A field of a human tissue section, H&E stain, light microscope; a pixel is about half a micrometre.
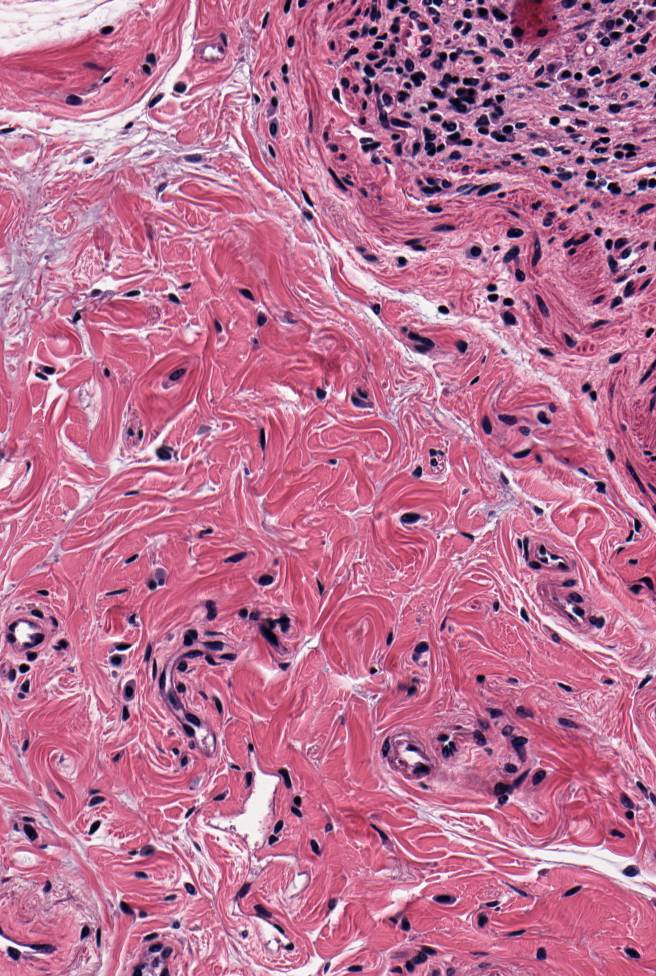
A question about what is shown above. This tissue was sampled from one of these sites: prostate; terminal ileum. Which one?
terminal ileum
